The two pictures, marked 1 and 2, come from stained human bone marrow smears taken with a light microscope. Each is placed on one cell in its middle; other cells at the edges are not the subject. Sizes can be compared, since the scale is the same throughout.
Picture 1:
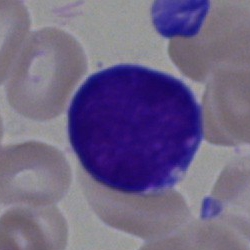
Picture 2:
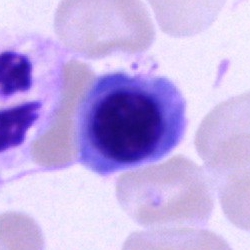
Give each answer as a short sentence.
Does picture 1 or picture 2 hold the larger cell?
The cell in picture 1 is larger, with about 1.5 times the area of the one in picture 2.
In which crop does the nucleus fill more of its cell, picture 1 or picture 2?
The nucleus fills more of the cell in picture 1 than in picture 2.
